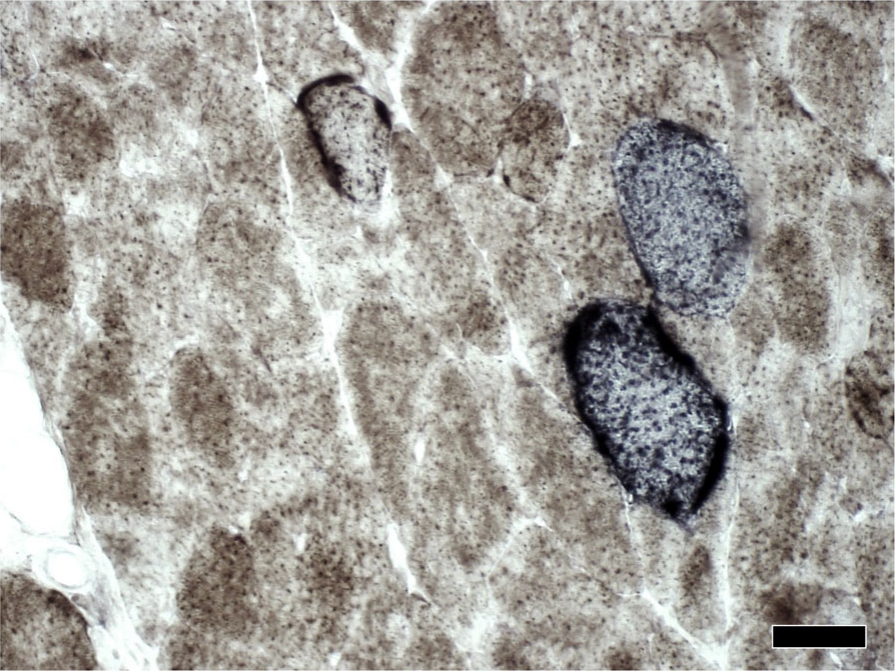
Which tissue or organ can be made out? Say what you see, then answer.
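Muscle fibres. Large polygonal to oval profiles packed side by side, as in a cross-section. Thin pale septa of connective tissue separate the profiles. Each profile has a finely stippled cytoplasm without cell borders inside it.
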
